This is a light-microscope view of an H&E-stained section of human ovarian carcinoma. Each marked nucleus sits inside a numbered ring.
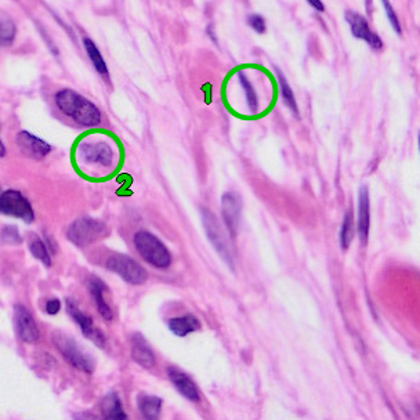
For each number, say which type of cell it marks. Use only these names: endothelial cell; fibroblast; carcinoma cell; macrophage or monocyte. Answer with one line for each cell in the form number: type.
1: fibroblast
2: macrophage or monocyte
